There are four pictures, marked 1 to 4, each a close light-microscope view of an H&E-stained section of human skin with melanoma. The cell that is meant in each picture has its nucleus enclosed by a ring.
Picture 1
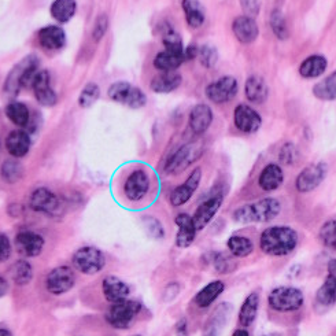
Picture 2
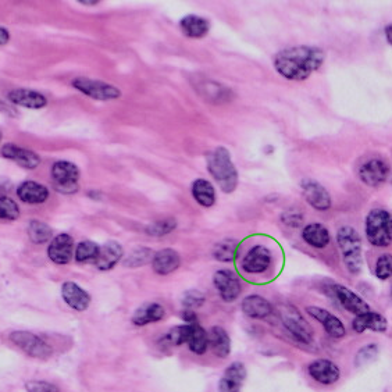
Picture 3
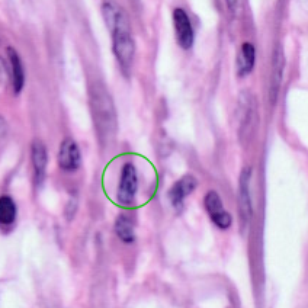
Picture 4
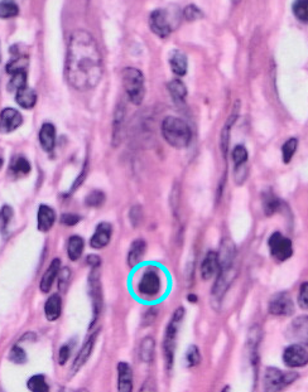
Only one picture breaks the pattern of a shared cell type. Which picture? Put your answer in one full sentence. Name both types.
The different one is picture 4; it shows a lymphocyte, whereas all the others show plasma cells.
